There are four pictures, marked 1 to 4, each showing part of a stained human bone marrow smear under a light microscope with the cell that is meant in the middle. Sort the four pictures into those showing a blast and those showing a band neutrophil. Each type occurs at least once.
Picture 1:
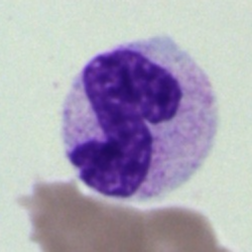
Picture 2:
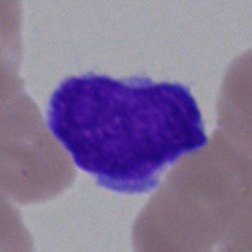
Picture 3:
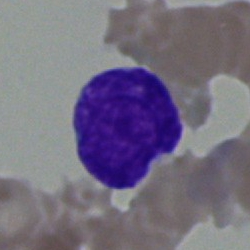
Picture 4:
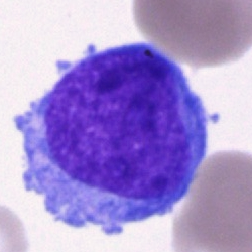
1: band neutrophil
2: blast
3: blast
4: blast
